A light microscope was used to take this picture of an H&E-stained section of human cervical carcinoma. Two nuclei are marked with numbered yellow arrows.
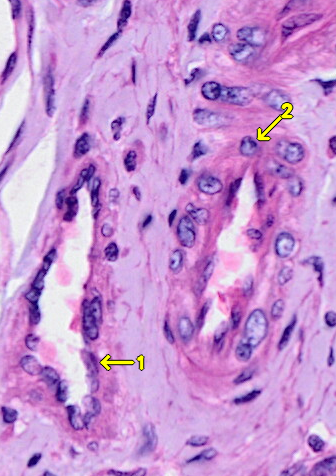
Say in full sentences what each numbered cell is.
Cell 1 is an endothelial cell and cell 2 is a smooth muscle cell.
